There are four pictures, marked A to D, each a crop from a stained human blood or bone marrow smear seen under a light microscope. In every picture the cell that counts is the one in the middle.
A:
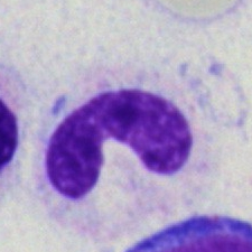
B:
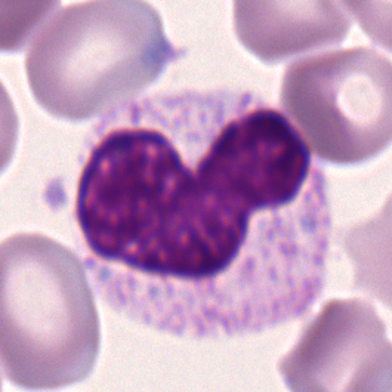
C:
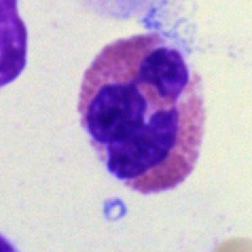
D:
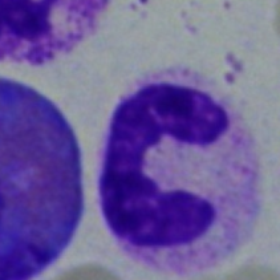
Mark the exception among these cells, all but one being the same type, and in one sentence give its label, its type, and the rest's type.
All the crops show band neutrophils, barring crop C, which is an eosinophil.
